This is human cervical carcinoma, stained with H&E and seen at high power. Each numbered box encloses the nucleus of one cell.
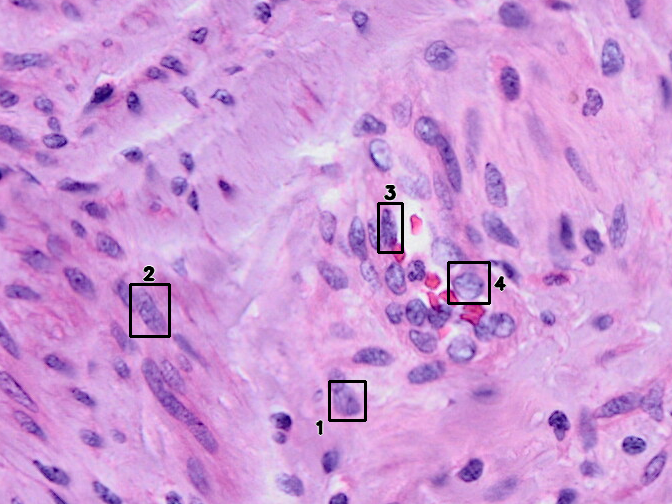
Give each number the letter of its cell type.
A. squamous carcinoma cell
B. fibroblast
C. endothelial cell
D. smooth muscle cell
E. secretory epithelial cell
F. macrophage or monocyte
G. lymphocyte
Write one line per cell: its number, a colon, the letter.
1: B
2: D
3: C
4: C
